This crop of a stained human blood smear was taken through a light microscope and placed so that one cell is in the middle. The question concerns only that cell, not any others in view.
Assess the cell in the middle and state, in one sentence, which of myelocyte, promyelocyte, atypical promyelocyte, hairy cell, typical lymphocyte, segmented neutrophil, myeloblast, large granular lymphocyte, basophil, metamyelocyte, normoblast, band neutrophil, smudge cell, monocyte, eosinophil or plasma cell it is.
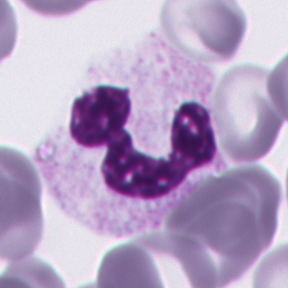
As for the central cell, it is a segmented neutrophil.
